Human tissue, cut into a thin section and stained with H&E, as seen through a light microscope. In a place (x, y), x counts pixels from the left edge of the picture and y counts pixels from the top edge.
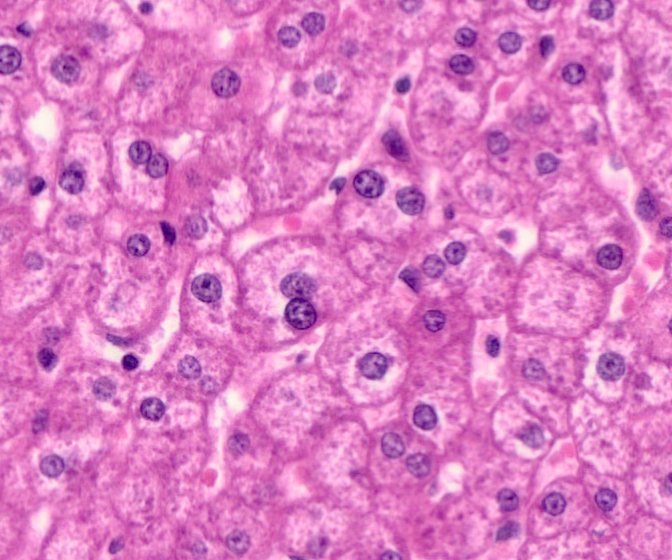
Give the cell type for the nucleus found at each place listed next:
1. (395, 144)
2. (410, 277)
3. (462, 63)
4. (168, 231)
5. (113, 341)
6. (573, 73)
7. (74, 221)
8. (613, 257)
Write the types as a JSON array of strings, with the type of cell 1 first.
["Kupffer cell", "endothelial cell", "hepatocyte", "fibroblast or stellate cell", "Kupffer cell", "hepatocyte", "hepatocyte", "hepatocyte"]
